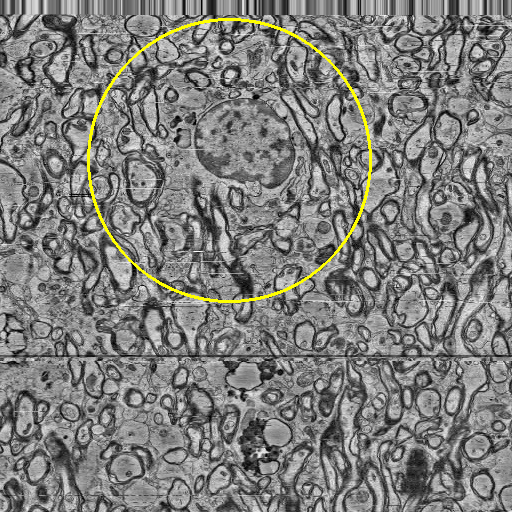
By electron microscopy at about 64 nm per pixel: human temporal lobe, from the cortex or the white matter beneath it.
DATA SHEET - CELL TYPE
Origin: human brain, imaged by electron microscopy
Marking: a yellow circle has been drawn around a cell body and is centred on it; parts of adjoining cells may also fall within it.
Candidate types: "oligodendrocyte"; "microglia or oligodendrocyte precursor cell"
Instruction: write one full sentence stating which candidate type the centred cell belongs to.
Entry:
The cell body at the centre of the yellow ring in this micrograph belongs to a microglial cell or oligodendrocyte precursor cell.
